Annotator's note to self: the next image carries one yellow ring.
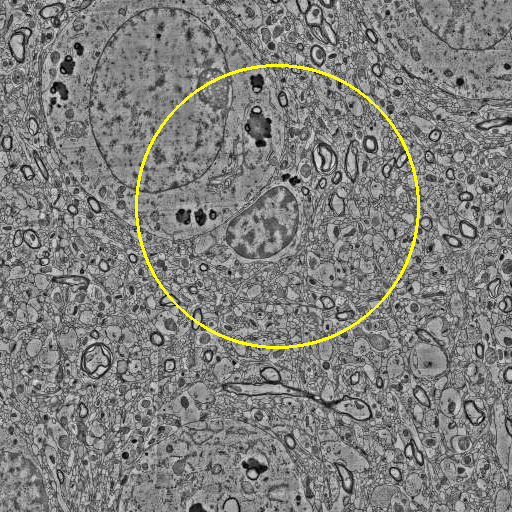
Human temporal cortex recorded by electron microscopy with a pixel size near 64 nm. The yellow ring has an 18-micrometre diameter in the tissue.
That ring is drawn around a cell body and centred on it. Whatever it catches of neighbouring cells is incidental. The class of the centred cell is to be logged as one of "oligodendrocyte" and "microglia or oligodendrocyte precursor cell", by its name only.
microglia or oligodendrocyte precursor cell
